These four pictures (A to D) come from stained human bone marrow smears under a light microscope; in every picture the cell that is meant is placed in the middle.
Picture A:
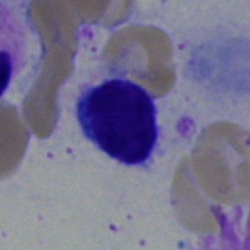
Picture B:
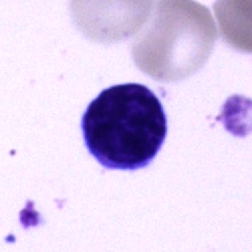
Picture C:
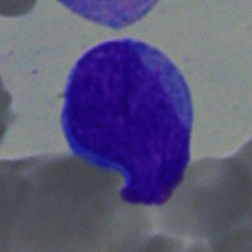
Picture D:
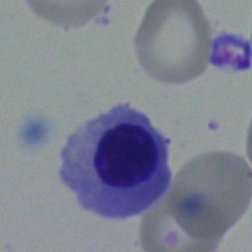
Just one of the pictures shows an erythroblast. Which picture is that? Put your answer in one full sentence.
Picture D shows the erythroblast.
